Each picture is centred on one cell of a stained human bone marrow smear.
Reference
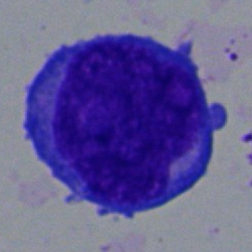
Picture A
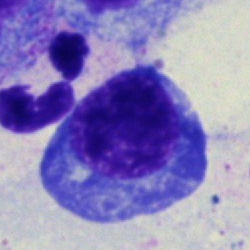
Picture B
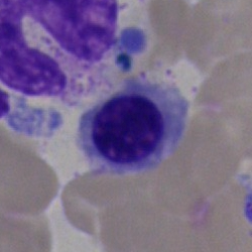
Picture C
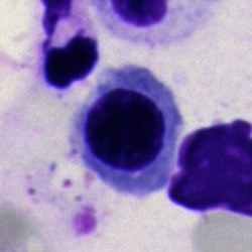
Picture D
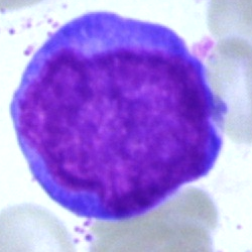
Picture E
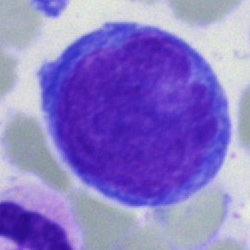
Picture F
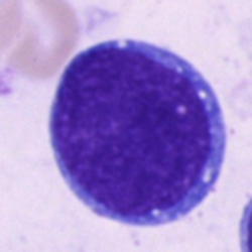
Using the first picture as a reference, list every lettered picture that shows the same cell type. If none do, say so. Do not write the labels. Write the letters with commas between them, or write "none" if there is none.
D, E, F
